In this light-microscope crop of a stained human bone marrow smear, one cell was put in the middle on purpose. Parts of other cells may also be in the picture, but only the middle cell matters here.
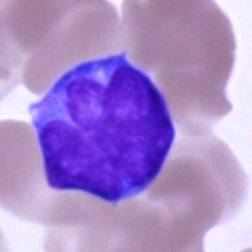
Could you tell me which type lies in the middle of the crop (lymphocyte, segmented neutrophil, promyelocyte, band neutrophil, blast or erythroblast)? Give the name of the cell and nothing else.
blast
